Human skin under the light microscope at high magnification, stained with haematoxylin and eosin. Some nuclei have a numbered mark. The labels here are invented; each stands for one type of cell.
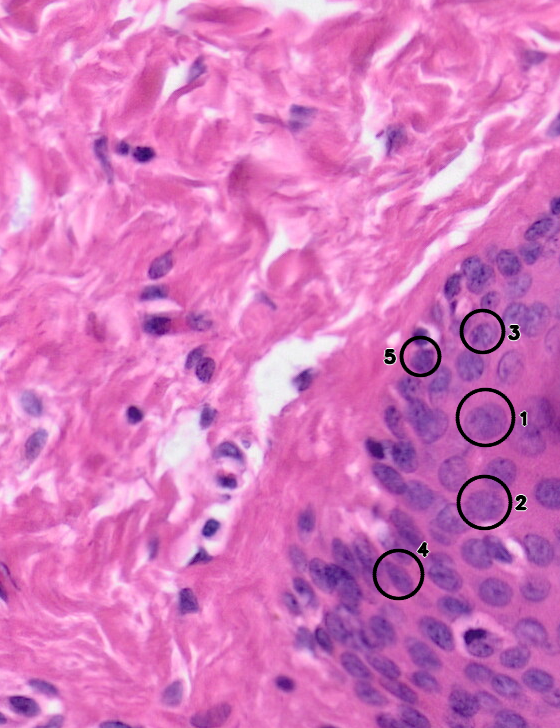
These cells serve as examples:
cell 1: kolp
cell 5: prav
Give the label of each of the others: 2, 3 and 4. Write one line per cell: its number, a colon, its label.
2: kolp
3: kolp
4: prav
